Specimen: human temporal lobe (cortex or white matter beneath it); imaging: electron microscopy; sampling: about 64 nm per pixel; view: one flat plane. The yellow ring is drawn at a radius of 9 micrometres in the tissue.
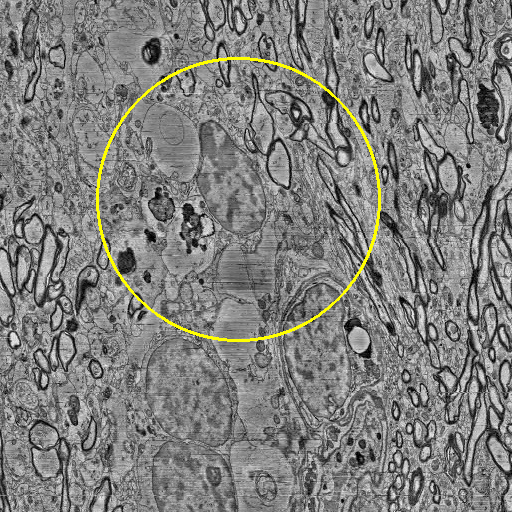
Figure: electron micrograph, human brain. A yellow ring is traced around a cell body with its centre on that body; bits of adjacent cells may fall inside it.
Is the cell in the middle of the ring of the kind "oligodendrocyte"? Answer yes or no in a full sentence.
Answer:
No, another kind applies to the cell centred within the yellow ring of the picture.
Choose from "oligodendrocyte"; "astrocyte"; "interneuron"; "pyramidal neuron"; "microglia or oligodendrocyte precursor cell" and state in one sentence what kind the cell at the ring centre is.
Sitting at the ring centre is a microglial cell or oligodendrocyte precursor cell.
